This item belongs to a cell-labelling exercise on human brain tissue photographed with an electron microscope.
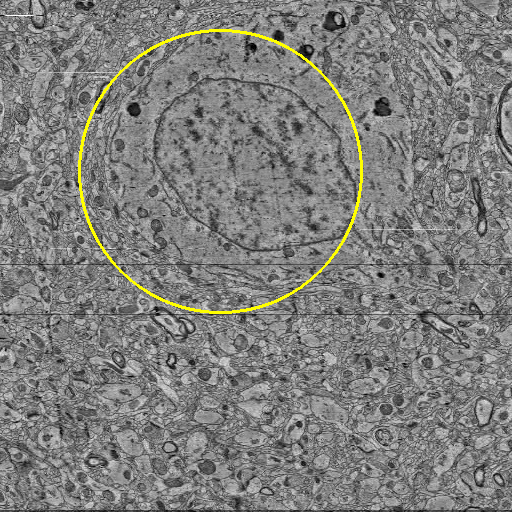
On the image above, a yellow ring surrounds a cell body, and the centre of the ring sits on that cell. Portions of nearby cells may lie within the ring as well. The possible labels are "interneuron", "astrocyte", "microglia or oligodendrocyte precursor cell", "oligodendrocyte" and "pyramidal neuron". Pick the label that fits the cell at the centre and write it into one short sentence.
This cell should be labelled as a pyramidal neuron.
